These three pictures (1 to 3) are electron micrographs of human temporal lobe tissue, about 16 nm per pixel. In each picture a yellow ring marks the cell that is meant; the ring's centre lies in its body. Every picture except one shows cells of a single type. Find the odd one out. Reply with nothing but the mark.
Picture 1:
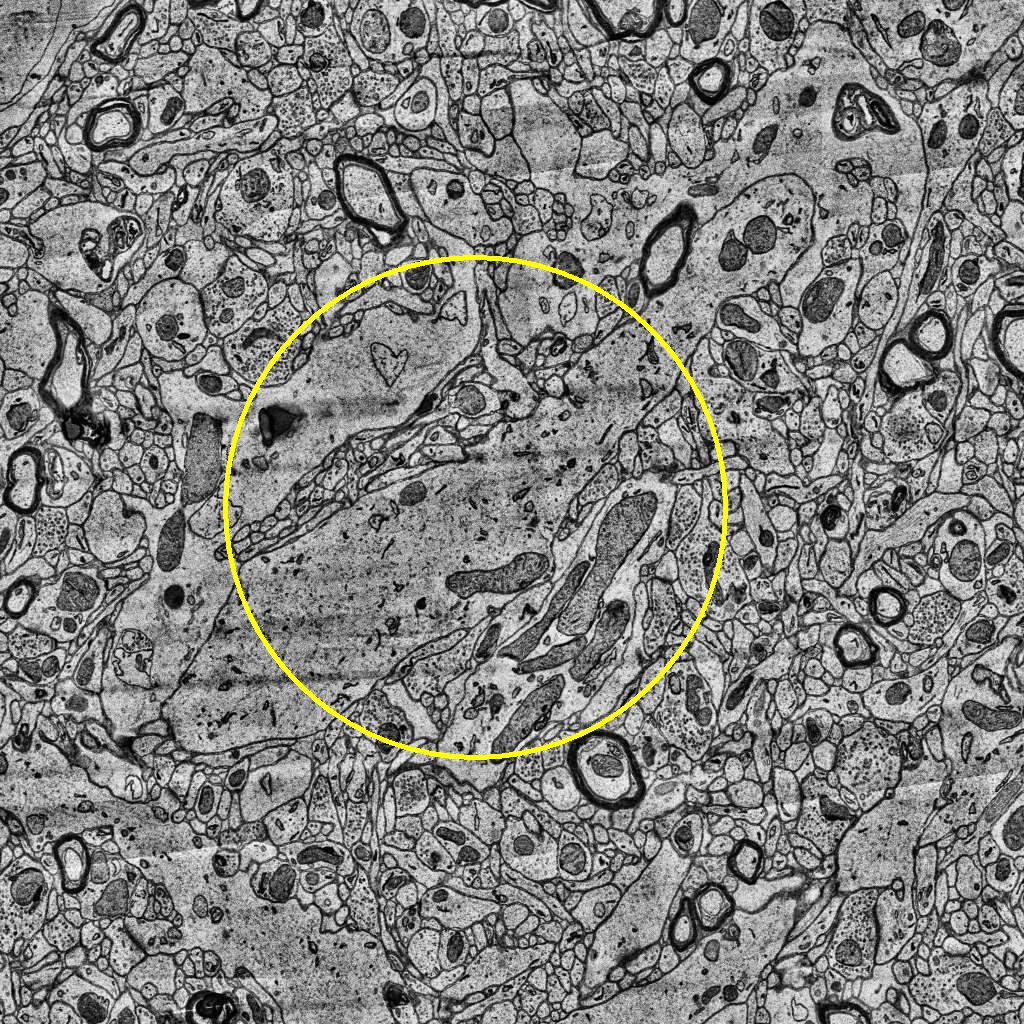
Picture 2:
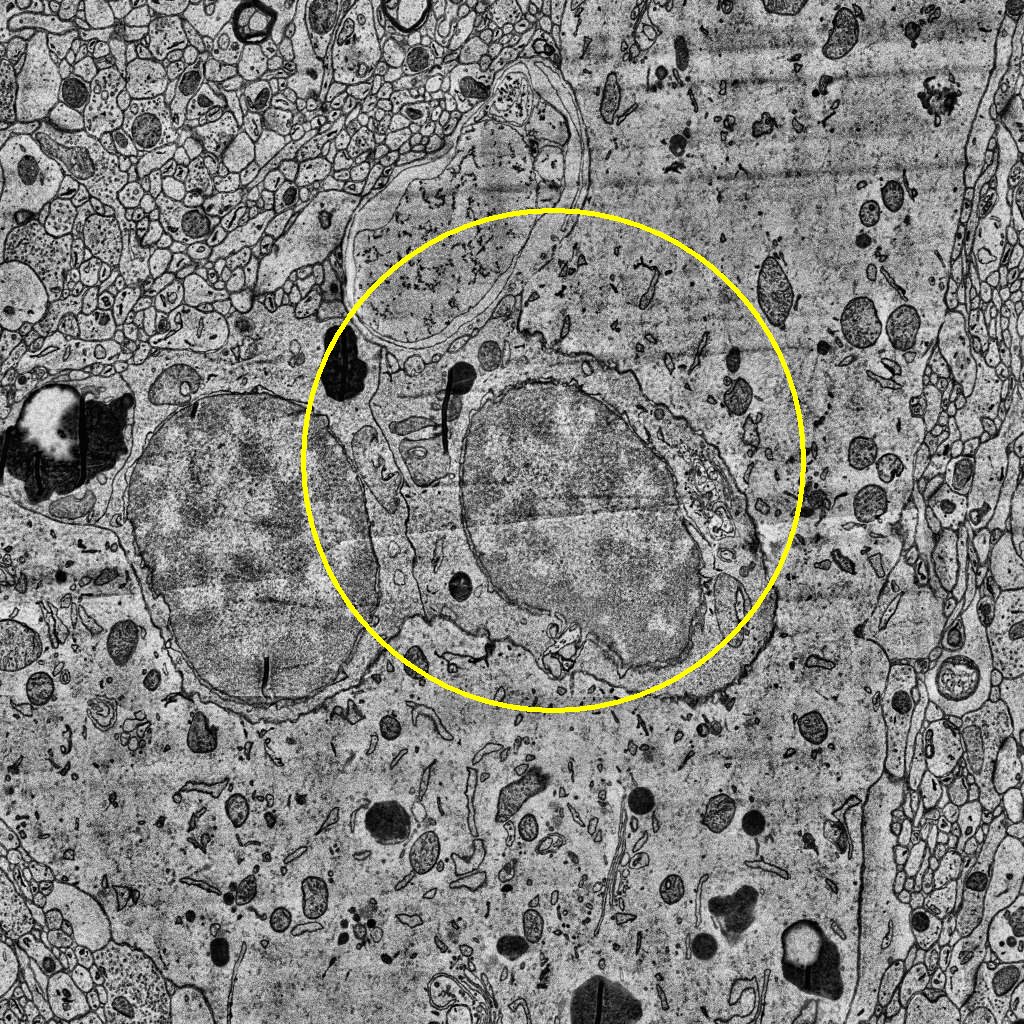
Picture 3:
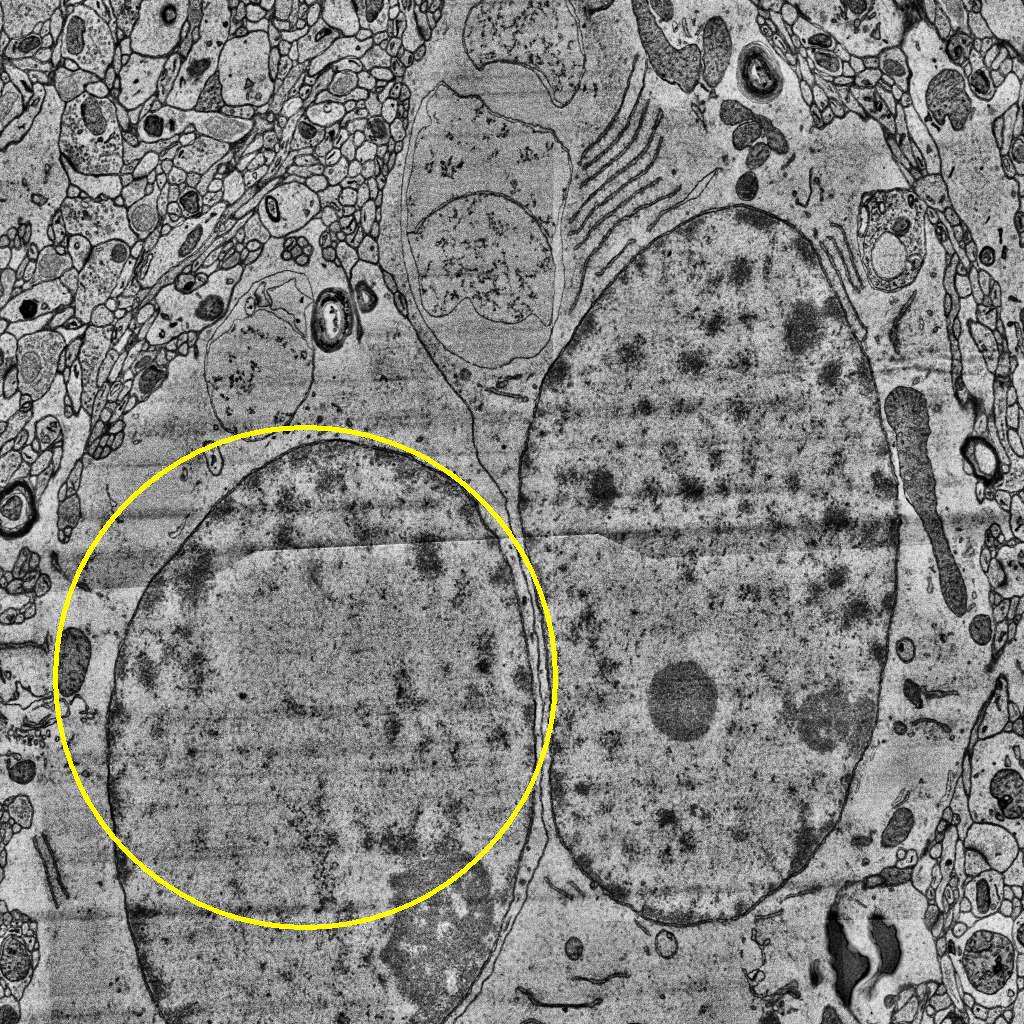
3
